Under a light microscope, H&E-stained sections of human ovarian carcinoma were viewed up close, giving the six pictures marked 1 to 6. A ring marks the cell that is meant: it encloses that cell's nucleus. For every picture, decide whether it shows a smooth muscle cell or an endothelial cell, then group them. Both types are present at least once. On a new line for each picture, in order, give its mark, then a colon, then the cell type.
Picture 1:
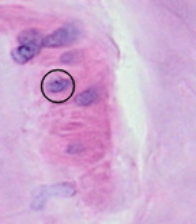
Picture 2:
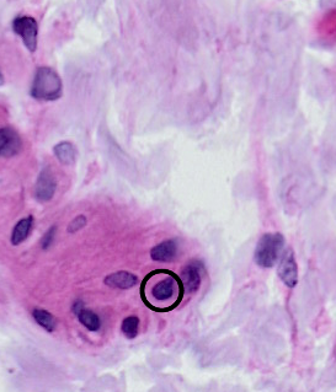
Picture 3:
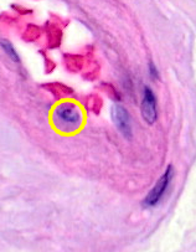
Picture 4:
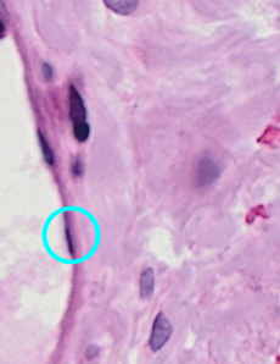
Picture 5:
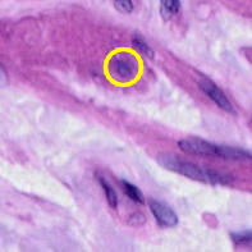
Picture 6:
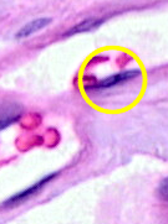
1: smooth muscle cell
2: smooth muscle cell
3: endothelial cell
4: endothelial cell
5: smooth muscle cell
6: endothelial cell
